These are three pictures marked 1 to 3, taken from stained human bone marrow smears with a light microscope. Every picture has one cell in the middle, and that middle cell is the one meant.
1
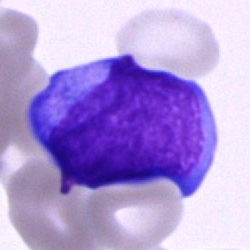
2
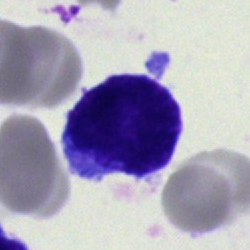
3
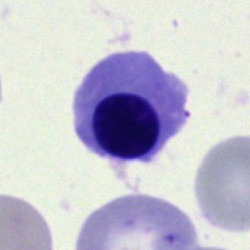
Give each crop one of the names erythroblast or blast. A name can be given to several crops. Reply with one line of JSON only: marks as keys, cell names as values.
{"1": "blast", "2": "blast", "3": "erythroblast"}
